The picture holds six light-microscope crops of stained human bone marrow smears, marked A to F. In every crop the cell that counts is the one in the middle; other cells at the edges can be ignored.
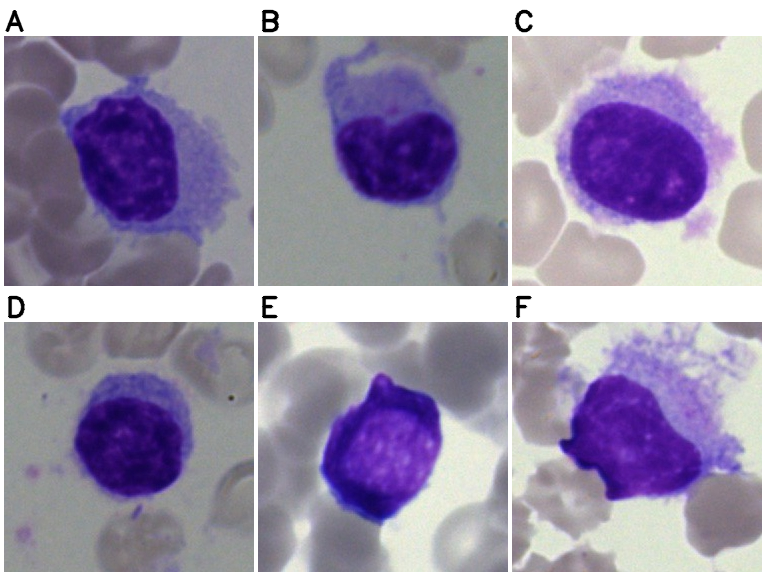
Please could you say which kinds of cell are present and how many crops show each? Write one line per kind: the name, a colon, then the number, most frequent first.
hairy cell: 5
blast: 1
